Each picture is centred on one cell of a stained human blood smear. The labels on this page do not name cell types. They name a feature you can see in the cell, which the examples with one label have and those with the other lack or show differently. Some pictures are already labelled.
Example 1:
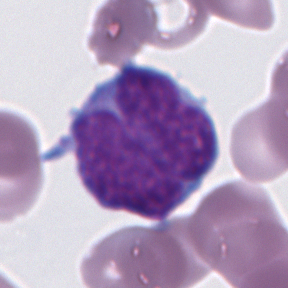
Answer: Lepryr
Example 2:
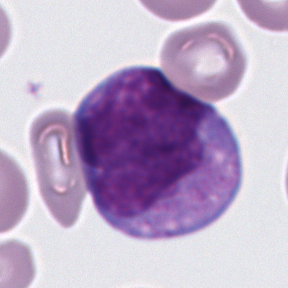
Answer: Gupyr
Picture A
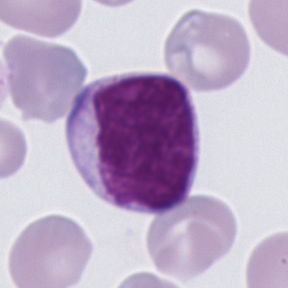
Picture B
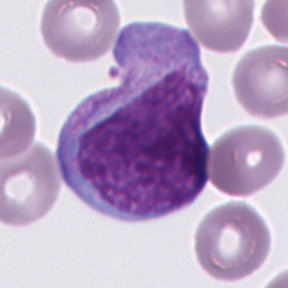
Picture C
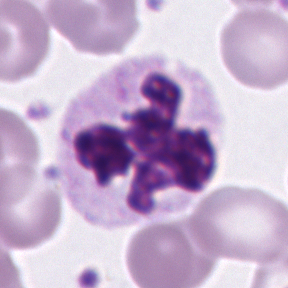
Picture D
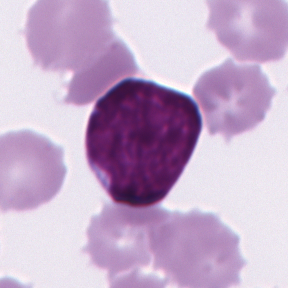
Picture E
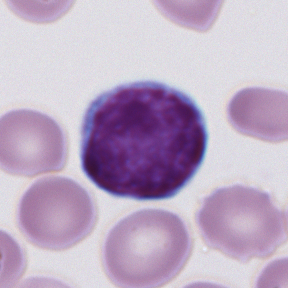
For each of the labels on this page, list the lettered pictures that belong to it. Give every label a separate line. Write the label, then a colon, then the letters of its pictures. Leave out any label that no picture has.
Lepryr: B
Gupyr: A, C, D, E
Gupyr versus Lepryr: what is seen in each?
In Gupyr: smooth outline. In Lepryr: ragged outline or projections.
